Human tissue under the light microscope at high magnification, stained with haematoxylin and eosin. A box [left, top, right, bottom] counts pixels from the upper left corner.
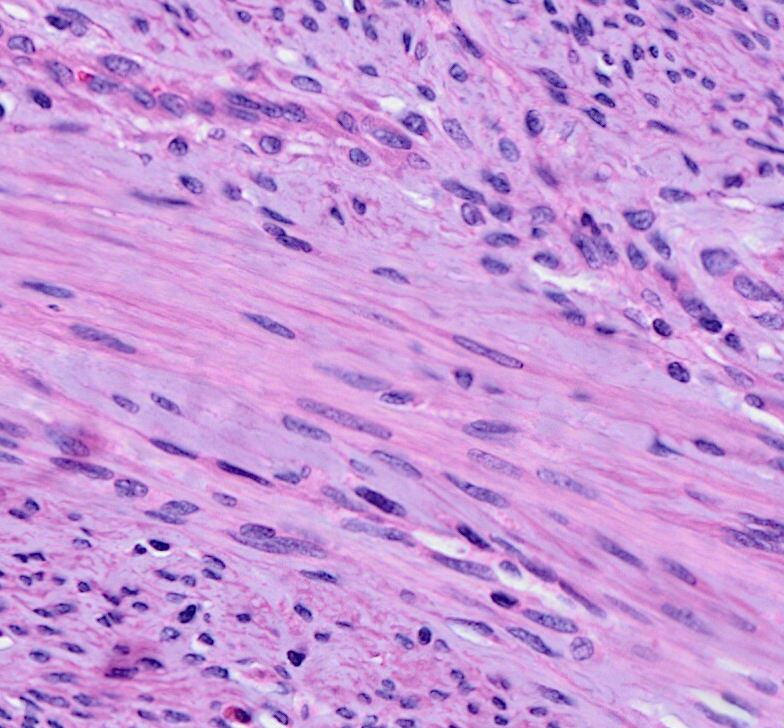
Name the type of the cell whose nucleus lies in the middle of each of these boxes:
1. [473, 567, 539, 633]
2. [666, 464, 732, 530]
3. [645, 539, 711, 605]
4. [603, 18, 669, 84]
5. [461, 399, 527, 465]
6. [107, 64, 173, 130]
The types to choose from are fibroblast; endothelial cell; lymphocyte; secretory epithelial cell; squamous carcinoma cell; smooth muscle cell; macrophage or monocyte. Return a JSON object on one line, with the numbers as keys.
{"1": "lymphocyte", "2": "smooth muscle cell", "3": "smooth muscle cell", "4": "fibroblast", "5": "fibroblast", "6": "endothelial cell"}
